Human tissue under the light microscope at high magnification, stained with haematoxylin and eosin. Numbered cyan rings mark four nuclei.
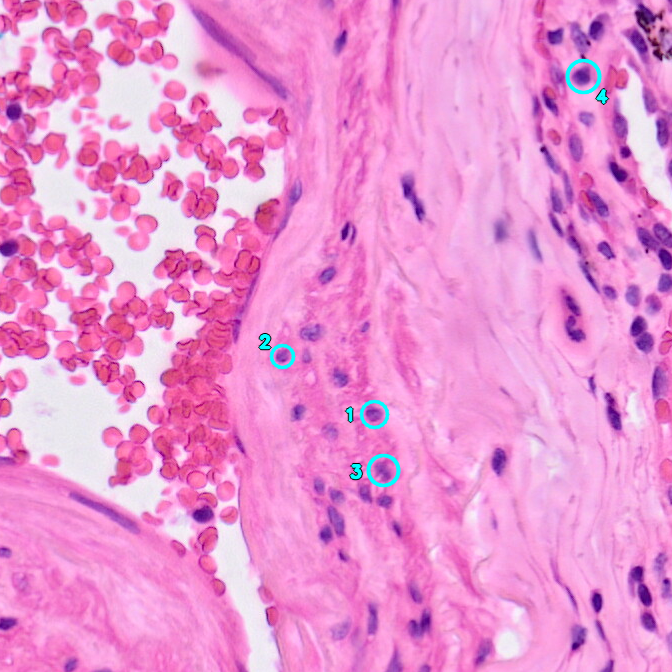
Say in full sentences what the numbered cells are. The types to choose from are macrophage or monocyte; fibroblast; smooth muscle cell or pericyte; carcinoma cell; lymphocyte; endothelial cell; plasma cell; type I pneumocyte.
Cells 1, 2 and 3 are smooth muscle cells or pericytes. Cell 4 is a lymphocyte.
